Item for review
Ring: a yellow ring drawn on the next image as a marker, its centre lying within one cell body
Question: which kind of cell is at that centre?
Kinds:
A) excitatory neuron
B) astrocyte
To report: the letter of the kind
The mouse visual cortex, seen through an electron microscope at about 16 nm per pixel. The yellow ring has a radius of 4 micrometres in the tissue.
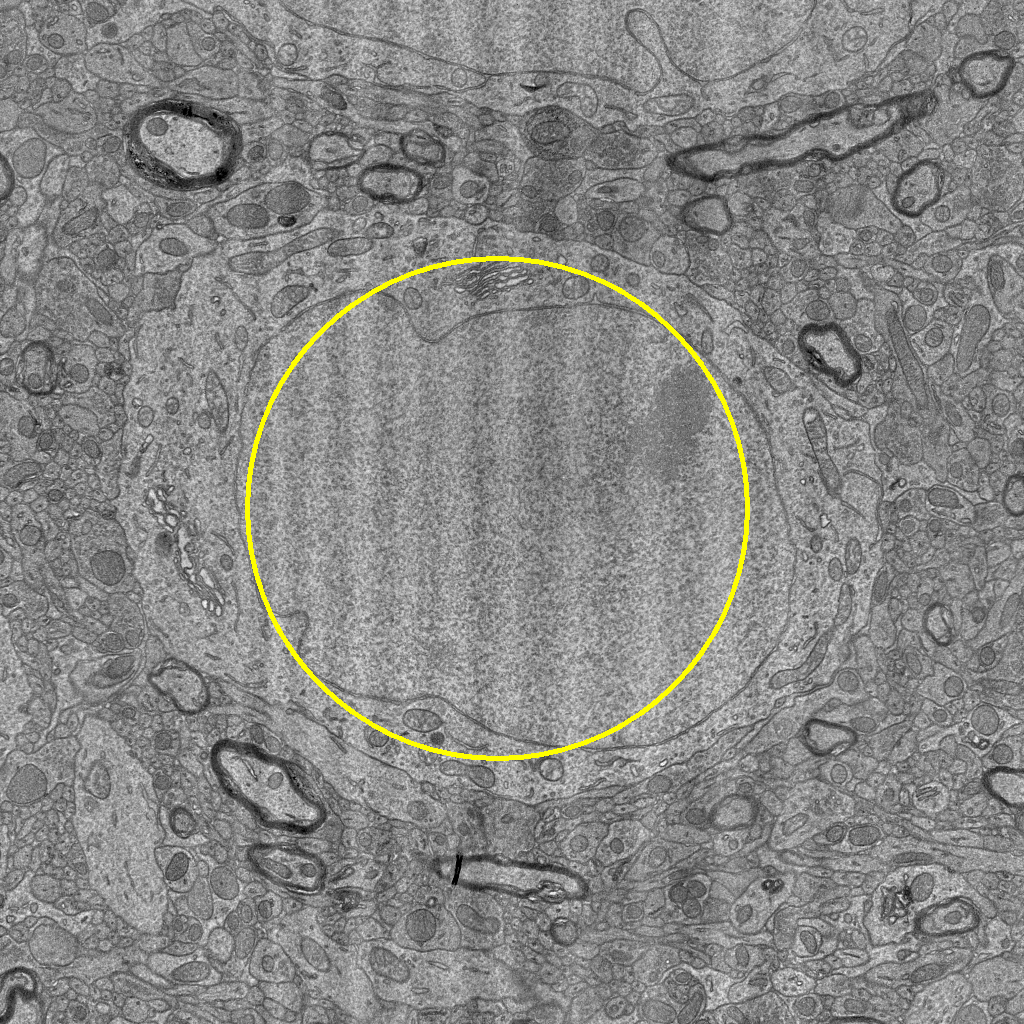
A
